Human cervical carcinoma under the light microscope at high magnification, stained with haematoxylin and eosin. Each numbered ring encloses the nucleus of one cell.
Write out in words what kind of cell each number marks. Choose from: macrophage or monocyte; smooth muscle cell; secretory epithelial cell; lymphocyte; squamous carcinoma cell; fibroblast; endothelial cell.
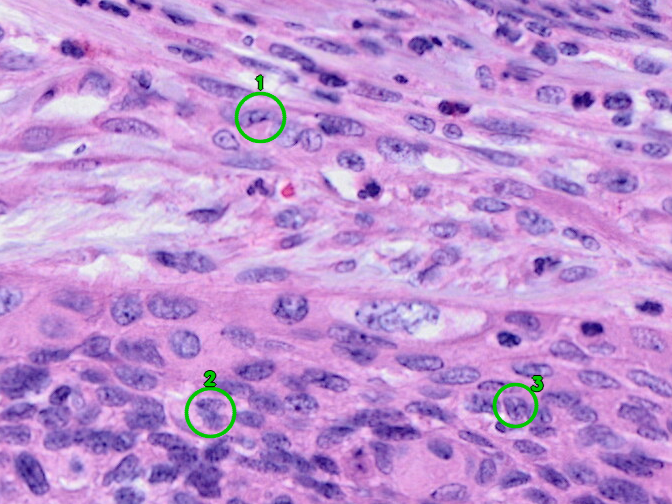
Cell 1 is an endothelial cell. Cells 2 and 3 are squamous carcinoma cells.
